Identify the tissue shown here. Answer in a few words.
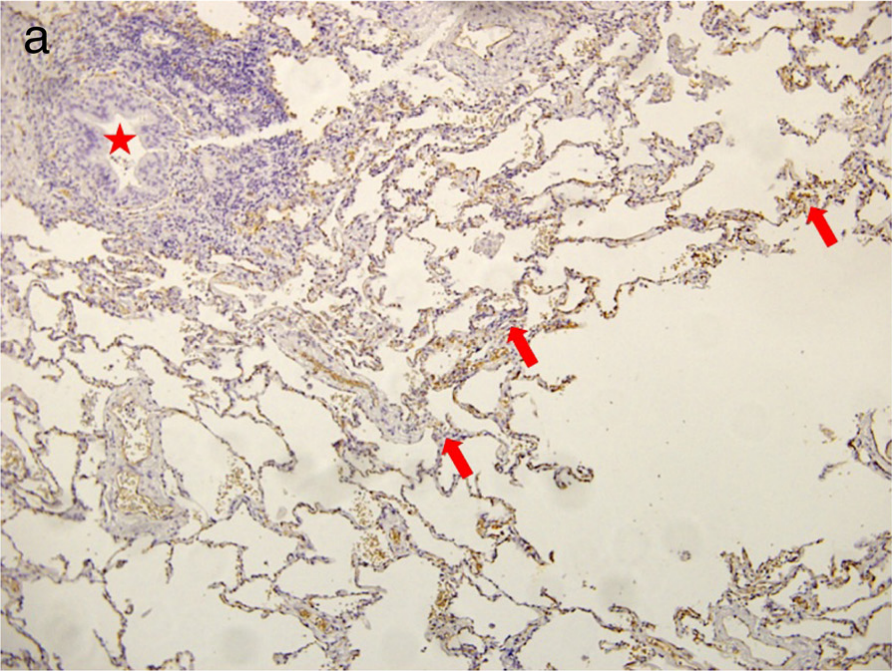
lung parenchyma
